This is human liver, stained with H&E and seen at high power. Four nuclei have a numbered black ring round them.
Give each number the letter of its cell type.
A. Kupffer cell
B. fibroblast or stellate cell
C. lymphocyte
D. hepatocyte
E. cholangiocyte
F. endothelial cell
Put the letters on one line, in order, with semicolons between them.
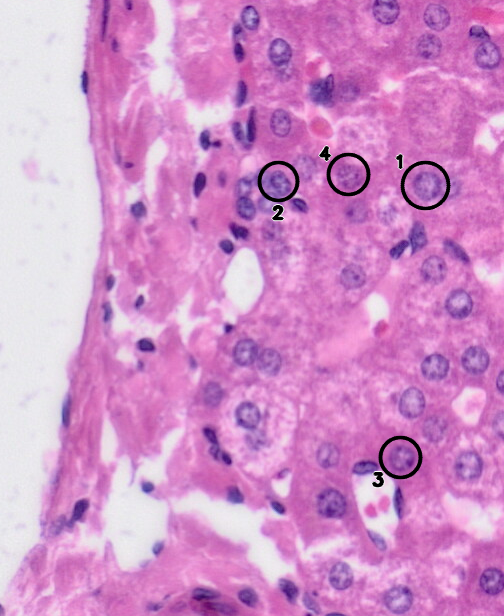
D; E; D; D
